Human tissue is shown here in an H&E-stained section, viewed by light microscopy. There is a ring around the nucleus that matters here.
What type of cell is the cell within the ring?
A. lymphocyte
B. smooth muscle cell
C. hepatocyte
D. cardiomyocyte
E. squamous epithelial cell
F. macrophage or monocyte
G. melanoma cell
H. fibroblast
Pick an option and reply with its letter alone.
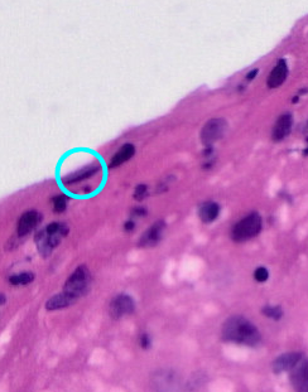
E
